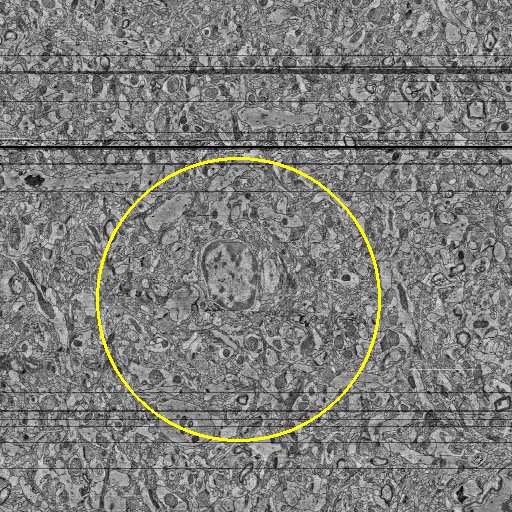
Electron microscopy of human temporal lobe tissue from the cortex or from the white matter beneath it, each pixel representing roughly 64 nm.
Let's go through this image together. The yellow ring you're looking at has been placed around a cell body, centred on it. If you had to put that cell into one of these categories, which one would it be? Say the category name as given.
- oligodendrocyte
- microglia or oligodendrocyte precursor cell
microglia or oligodendrocyte precursor cell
